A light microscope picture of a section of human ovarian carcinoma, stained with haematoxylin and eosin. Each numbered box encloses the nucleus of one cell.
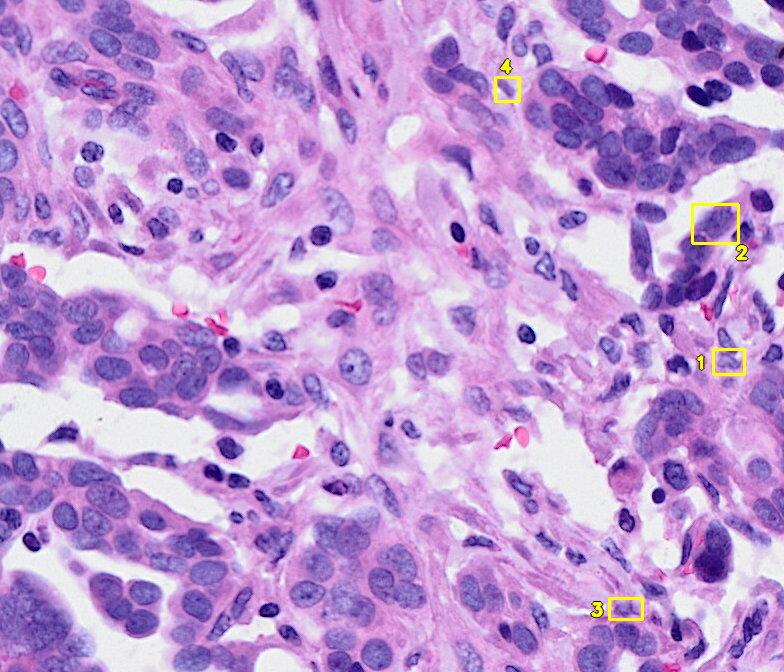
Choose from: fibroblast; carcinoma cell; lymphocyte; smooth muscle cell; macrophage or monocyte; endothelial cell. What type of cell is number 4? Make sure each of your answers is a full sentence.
Regarding cell 4, this one is a fibroblast.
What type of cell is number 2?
Cell 2, as marked in the section, is a carcinoma cell.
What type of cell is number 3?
The cell assigned the number 3 is a fibroblast.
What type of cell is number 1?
The marked cell bearing number 1 is a fibroblast.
